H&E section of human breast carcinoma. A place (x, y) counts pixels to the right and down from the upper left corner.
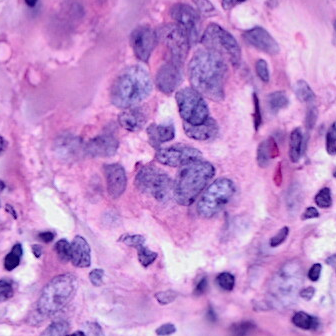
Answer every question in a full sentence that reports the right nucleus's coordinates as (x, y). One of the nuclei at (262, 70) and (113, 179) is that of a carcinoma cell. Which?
Between the two nuclei, the one sitting at (113, 179) belongs to a carcinoma cell.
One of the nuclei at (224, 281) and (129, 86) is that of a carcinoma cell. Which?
Of the two candidate nuclei, the one at (129, 86) is that of a carcinoma cell.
